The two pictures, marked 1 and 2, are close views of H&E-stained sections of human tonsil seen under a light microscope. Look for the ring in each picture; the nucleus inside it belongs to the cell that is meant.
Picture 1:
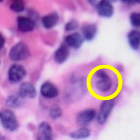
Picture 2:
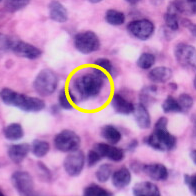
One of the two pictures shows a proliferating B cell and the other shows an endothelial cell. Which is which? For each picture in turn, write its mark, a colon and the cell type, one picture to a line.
1: endothelial cell
2: proliferating B cell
